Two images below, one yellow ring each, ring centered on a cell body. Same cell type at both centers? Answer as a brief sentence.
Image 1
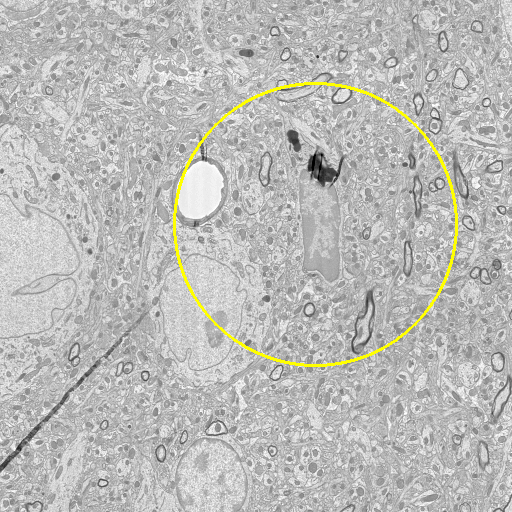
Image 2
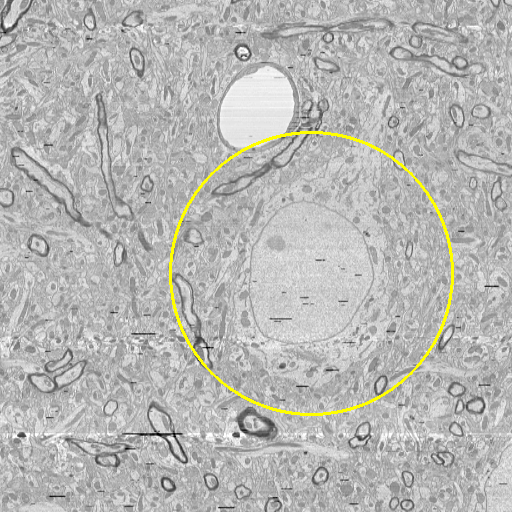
No, the cells are of two separate types.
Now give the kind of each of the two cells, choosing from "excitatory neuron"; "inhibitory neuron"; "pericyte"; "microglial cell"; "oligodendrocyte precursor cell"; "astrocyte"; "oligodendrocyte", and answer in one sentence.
The cell in the first picture is a microglial cell, and the cell in the second is an excitatory neuron.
